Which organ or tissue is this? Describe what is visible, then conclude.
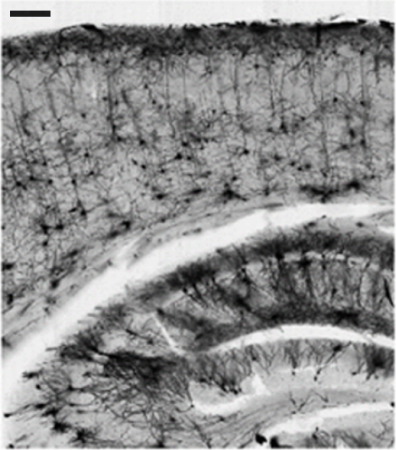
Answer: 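A broad band of scattered dark-stained cell bodies lies over a curved, folded region lower down. Many dark cells send long straight processes toward the upper surface, in parallel.
Conclusion: cortex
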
